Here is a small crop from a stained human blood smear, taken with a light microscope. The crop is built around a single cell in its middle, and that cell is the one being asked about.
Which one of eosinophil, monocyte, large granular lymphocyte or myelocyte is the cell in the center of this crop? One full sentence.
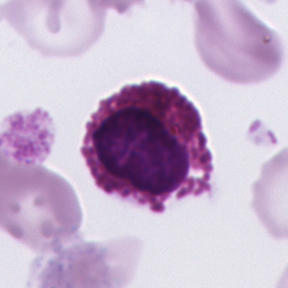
Occupying the centre of the crop is an eosinophil.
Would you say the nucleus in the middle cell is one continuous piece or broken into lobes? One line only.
One compact mass makes up the whole nucleus, round, oval or kidney-shaped.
